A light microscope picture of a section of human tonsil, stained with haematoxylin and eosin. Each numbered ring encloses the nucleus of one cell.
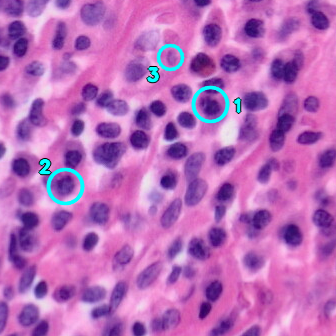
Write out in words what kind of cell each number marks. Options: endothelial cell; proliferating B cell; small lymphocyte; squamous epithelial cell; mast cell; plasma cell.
Cells 1 and 2 are plasma cells. Cell 3 is an endothelial cell.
